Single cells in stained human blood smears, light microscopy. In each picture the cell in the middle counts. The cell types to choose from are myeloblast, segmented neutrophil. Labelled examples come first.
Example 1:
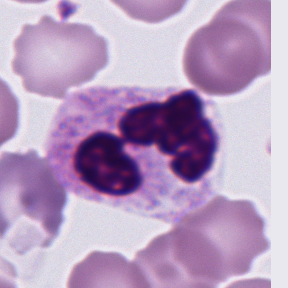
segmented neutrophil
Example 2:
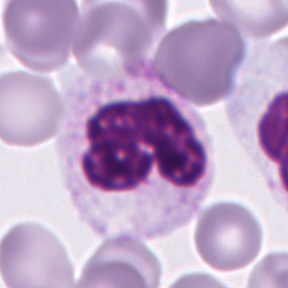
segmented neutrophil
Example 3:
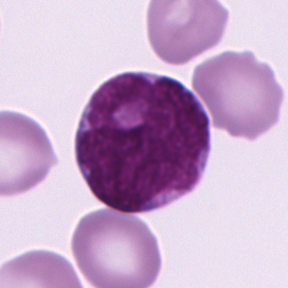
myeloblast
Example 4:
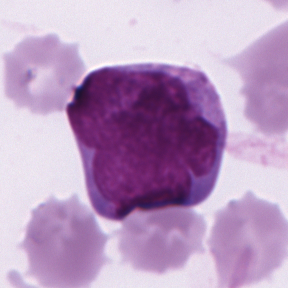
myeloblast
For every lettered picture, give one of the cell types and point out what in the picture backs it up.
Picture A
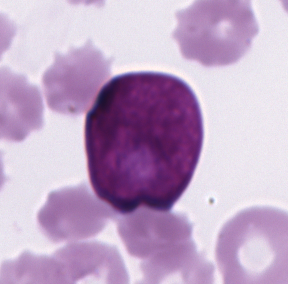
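myeloblast. Evidence: Only a very thin rim of dark blue-purple cytoplasm shows around the nucleus.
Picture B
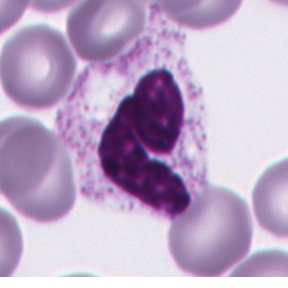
segmented neutrophil. Evidence: The cytoplasm is plentiful and pale pinkish-lilac.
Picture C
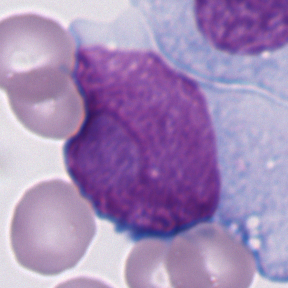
myeloblast. Evidence: The nucleus fills almost the whole cell.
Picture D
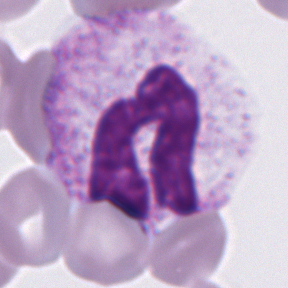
segmented neutrophil. Evidence: The cytoplasm is abundant and pale pink.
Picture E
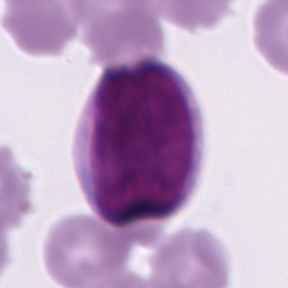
myeloblast. Evidence: The cytoplasm is a narrow rim that is widest on the left side of the cell.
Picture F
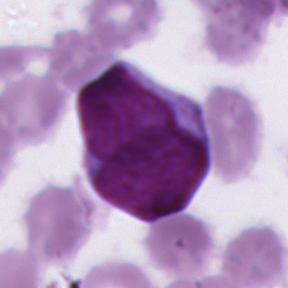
myeloblast. Evidence: The nucleus fills almost the whole cell.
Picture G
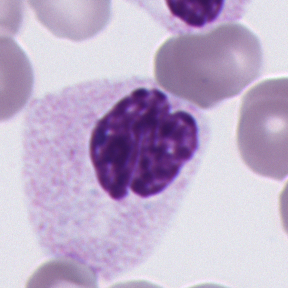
segmented neutrophil. Evidence: The cytoplasm is abundant and pale pinkish-lilac.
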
